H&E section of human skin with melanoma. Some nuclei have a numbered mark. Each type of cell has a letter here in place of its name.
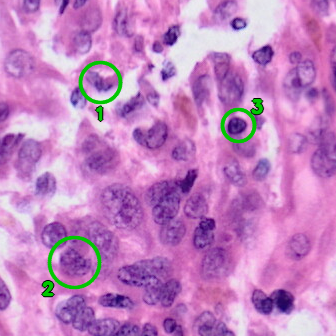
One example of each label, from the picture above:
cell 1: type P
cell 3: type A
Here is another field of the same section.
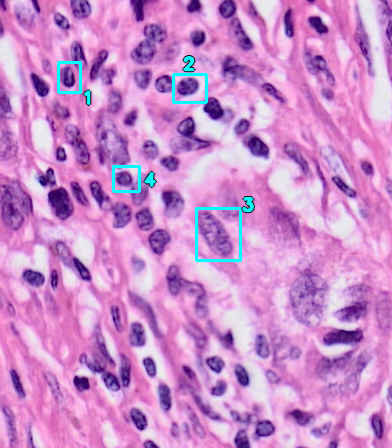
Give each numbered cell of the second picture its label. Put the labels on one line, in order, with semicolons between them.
type A; type A; type P; type A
